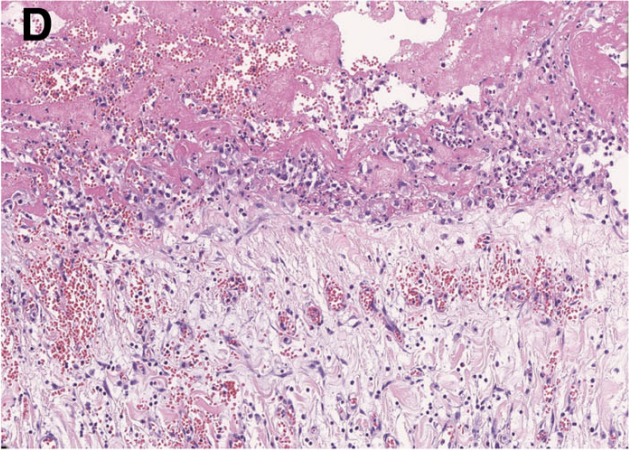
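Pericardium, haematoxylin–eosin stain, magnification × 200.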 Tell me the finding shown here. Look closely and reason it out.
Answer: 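The lower half is loose pale stroma with many small congested vessels. Scattered inflammatory cells lie between the vessels. So: inflammatory granulation tissue hyperplasia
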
